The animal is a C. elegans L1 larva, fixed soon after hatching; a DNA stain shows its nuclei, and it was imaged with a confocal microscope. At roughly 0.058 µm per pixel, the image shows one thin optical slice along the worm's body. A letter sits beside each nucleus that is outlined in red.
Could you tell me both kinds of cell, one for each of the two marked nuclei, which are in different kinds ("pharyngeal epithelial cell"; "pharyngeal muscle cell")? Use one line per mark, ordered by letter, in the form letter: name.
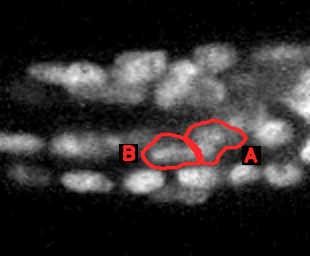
A: pharyngeal epithelial cell
B: pharyngeal muscle cell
